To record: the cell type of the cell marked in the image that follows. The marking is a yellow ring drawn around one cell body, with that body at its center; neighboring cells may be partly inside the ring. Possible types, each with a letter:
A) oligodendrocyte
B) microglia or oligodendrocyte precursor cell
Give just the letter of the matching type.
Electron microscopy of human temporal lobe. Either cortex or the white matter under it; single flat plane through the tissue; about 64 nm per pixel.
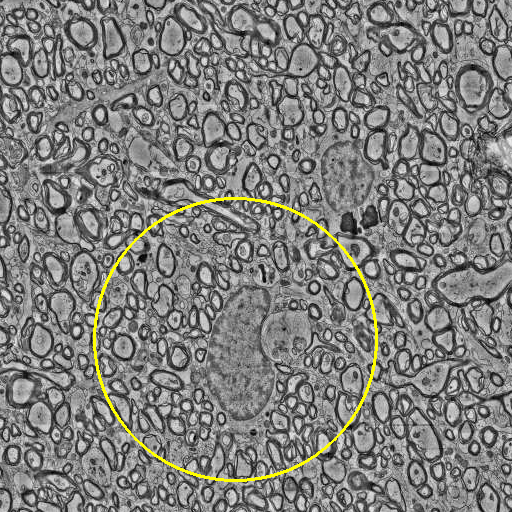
A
